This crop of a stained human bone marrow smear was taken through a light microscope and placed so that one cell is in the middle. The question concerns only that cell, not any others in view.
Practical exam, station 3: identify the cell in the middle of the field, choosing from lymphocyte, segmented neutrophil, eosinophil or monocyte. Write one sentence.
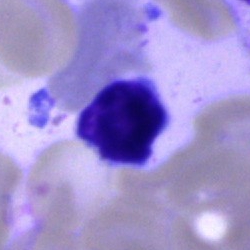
This particular crop is centered on a lymphocyte.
